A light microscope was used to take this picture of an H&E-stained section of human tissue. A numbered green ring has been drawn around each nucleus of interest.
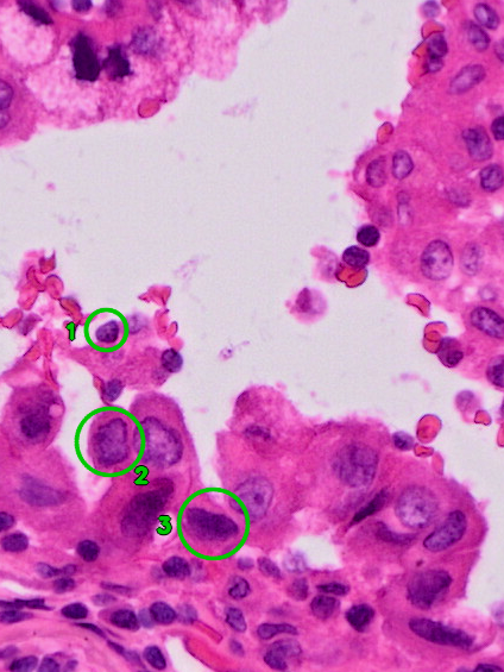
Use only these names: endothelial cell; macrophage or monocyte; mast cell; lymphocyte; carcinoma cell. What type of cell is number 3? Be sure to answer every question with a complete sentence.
Belonging to a carcinoma cell is the nucleus that carries the number 3.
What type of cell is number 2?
Corresponding to a carcinoma cell is the cell labelled 2.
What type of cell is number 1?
The correct label for cell 1 is a lymphocyte.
